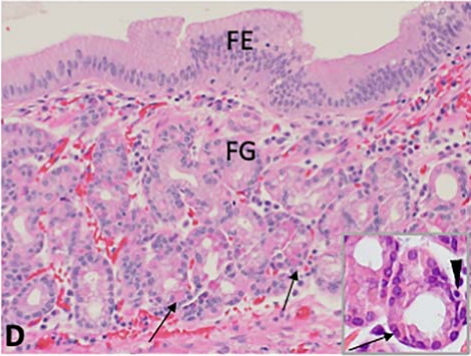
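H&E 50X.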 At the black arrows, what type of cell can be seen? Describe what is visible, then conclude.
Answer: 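The arrows point to cells lining the deep glands.
Hence: parietal cells.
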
